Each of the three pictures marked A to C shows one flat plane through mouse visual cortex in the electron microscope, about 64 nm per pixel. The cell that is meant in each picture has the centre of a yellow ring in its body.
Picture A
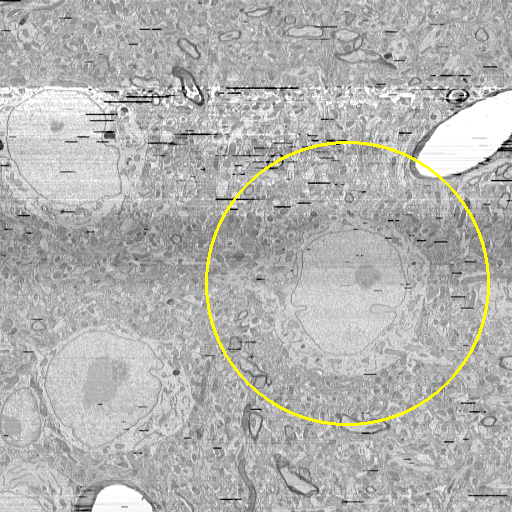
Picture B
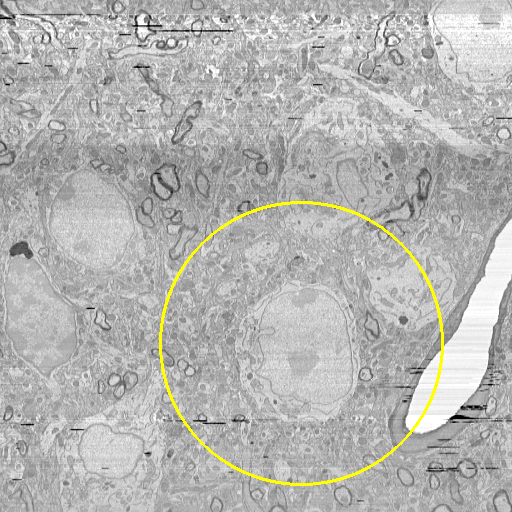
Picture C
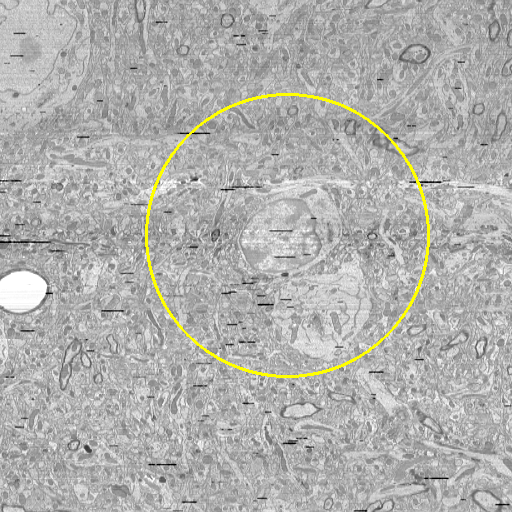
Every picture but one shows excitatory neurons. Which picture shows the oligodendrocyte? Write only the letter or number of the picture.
C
